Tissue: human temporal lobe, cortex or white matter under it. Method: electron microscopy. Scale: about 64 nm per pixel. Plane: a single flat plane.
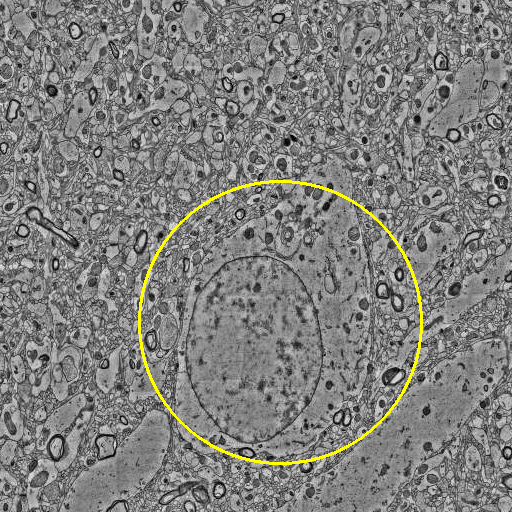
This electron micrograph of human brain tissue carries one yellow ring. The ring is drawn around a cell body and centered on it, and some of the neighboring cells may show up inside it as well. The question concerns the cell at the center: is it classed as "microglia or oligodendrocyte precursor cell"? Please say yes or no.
No, it is classed as another kind.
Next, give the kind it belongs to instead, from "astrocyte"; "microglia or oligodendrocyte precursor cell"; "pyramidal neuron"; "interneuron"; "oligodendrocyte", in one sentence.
Instead, what sits at the centre of the ring is a pyramidal neuron.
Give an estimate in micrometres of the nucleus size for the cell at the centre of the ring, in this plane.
Approximately 12 micrometres long and 9 micrometres wide, in this plane.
